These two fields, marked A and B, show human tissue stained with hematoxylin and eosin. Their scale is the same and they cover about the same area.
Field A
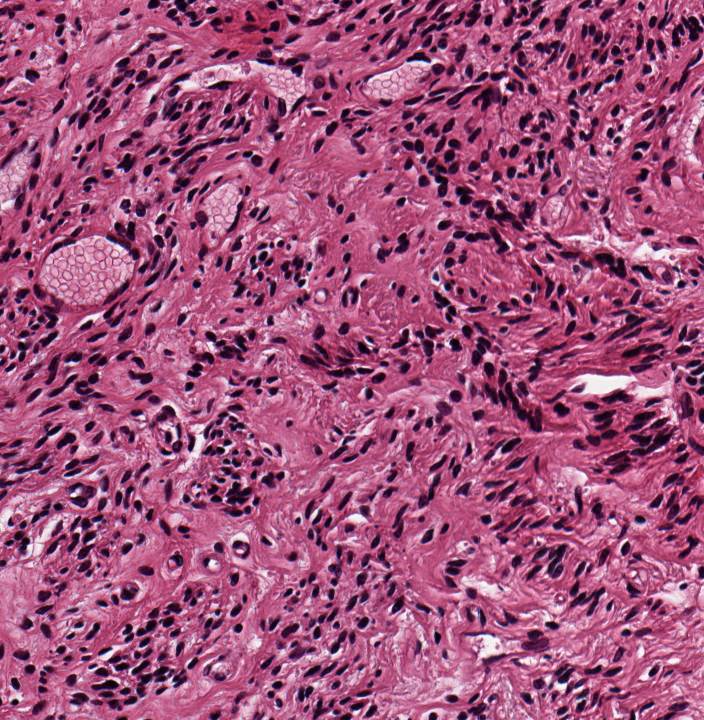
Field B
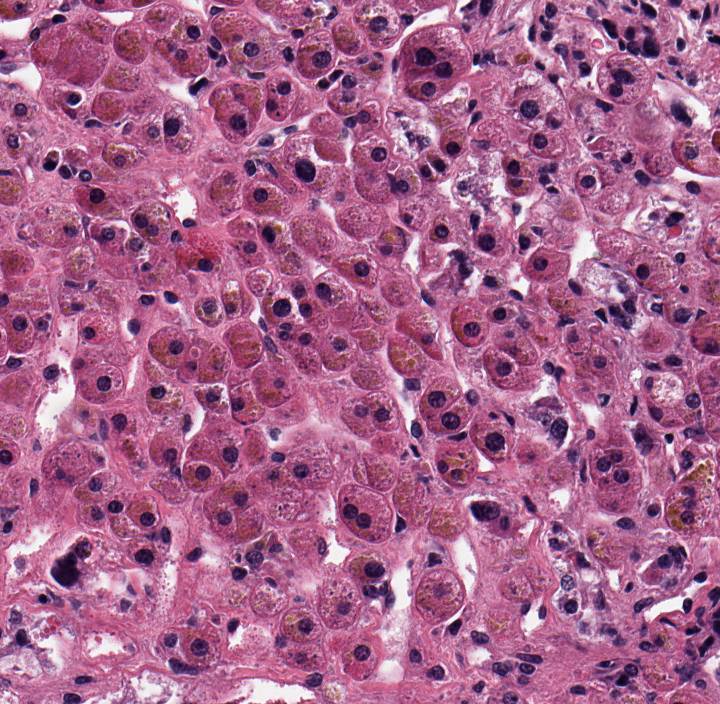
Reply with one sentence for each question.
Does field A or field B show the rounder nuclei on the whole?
On the whole the nuclei of field B are rounder than those of field A.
